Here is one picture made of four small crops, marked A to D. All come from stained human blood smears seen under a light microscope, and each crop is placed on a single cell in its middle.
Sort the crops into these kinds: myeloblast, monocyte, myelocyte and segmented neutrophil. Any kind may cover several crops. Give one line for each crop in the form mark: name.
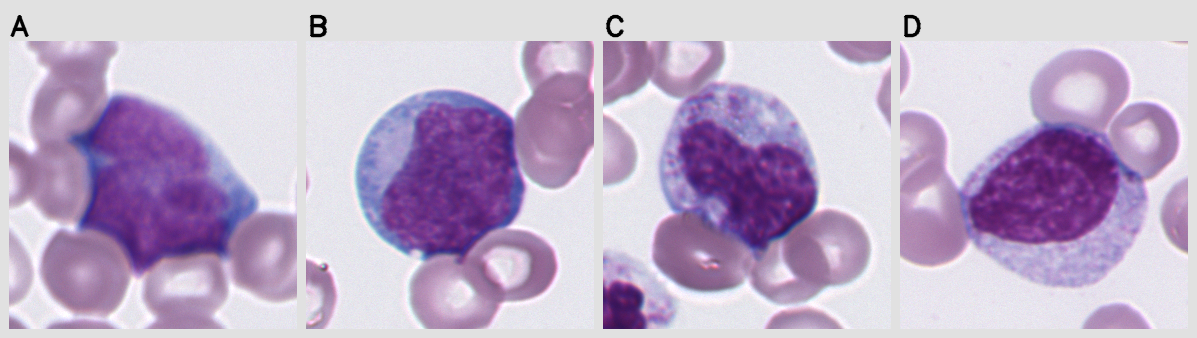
A: myeloblast
B: myeloblast
C: monocyte
D: myelocyte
